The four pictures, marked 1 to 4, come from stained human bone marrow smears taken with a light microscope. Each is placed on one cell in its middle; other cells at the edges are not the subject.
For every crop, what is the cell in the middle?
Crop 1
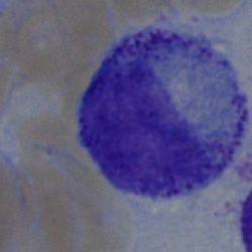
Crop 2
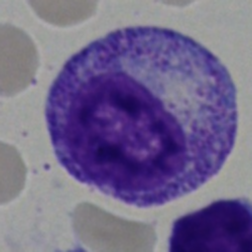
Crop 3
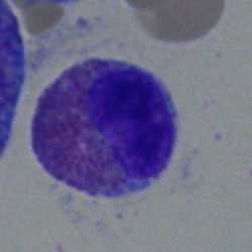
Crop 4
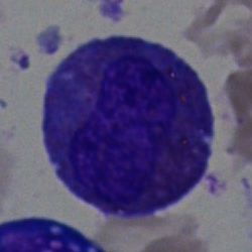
1: myelocyte
2: myelocyte
3: eosinophil
4: eosinophil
